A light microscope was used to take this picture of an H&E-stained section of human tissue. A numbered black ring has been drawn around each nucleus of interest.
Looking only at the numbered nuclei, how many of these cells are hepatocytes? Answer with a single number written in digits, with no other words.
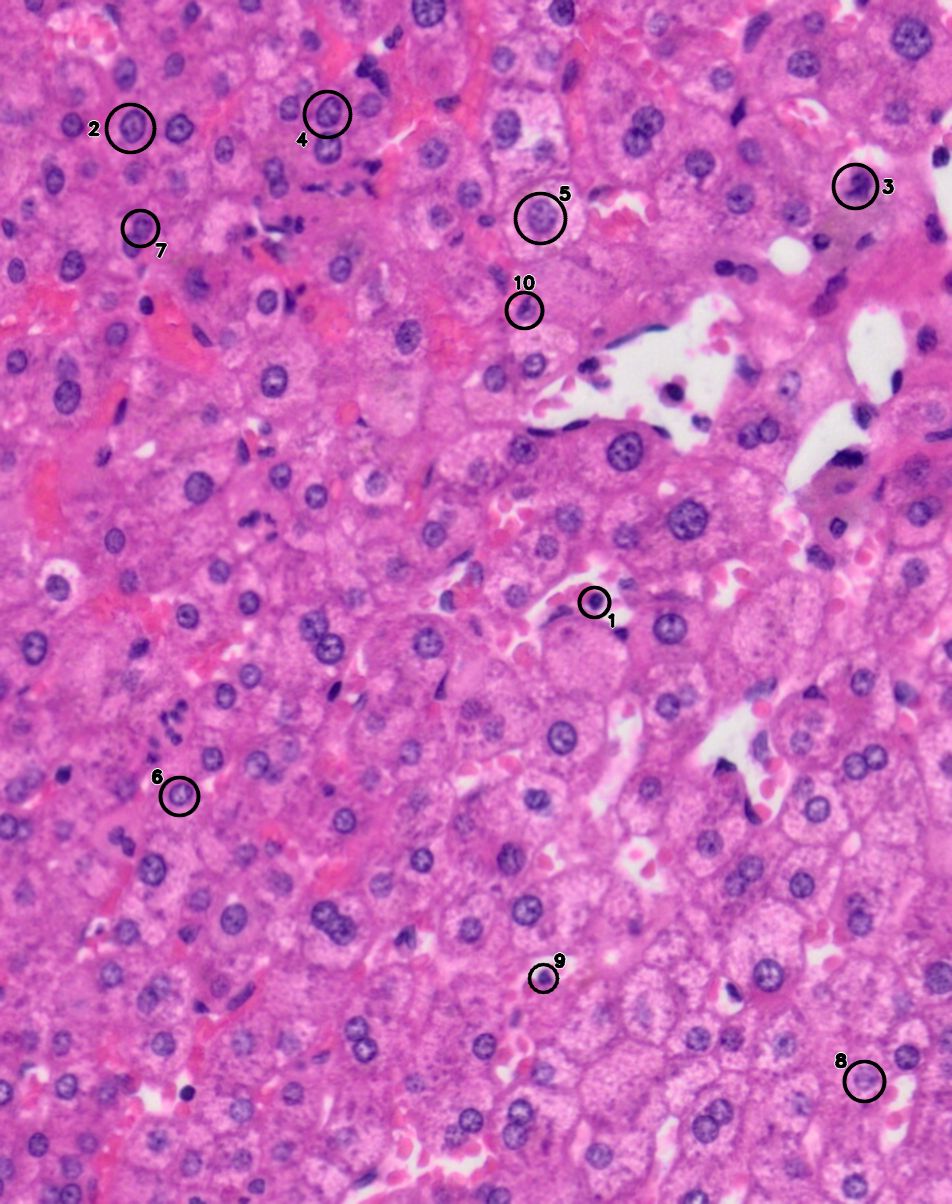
6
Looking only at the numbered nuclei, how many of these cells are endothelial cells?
1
